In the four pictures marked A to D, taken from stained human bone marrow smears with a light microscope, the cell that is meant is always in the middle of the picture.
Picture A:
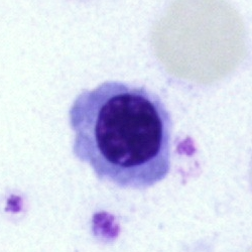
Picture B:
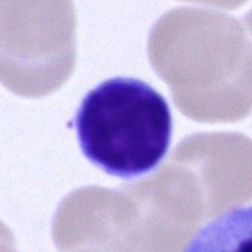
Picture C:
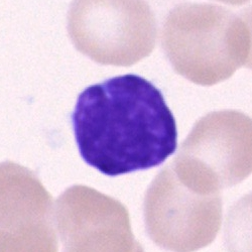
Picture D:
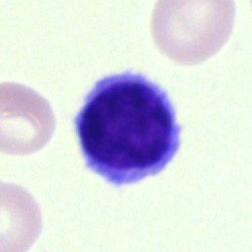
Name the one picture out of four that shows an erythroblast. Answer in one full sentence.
The erythroblast is the one in picture A.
